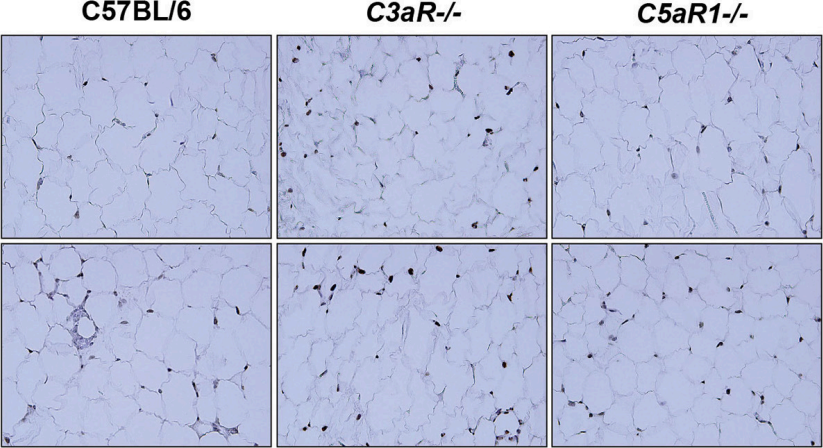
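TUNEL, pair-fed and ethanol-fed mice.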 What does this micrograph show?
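Adipose tissue of large, clear, polygonal adipocytes outlined by thin walls, counterstained pale blue. The brown nuclei are small and compact and lie among the blue ones without forming a distinct layer.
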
